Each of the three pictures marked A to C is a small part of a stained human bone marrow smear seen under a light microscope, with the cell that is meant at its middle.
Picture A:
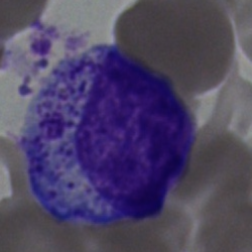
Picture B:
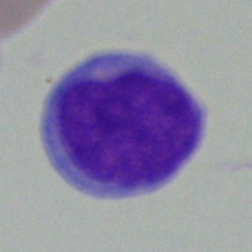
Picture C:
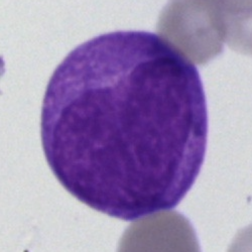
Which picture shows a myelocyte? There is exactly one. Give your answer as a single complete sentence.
Picture A shows the myelocyte.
